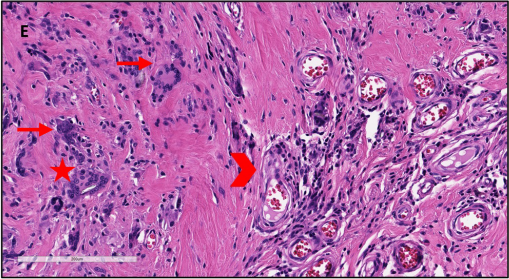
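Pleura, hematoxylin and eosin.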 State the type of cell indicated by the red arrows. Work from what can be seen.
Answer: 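The arrows point to large cells holding several dark nuclei clustered together. So: multinucleated cells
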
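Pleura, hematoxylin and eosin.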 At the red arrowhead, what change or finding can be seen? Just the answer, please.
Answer: Neoangiogenesis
